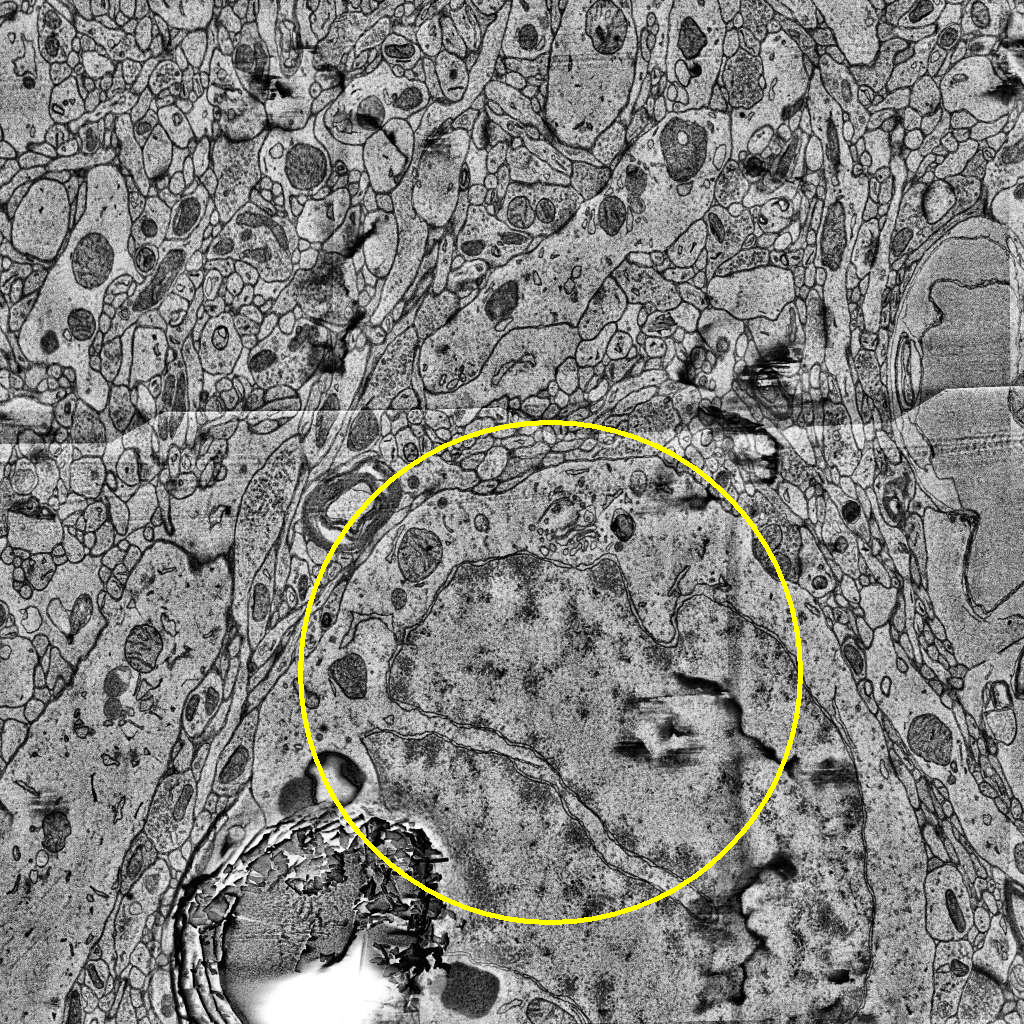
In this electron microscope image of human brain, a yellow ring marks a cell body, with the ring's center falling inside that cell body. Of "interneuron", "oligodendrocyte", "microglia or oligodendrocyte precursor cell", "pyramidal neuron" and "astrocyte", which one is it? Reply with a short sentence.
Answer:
It is an interneuron at the center of the ring.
